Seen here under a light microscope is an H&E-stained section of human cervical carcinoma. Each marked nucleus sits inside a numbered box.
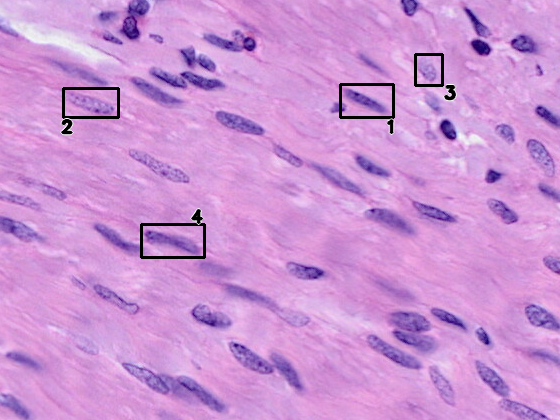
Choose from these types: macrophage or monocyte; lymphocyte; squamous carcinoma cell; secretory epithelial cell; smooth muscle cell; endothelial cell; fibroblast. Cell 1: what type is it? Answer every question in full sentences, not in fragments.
In the tissue shown, cell 1 is a fibroblast.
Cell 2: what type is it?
The cell identified by the number 2 is a smooth muscle cell.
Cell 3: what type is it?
Here, the cell given the number 3 is a fibroblast.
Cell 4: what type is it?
Looking at the numbered marks, cell 4 is a fibroblast.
